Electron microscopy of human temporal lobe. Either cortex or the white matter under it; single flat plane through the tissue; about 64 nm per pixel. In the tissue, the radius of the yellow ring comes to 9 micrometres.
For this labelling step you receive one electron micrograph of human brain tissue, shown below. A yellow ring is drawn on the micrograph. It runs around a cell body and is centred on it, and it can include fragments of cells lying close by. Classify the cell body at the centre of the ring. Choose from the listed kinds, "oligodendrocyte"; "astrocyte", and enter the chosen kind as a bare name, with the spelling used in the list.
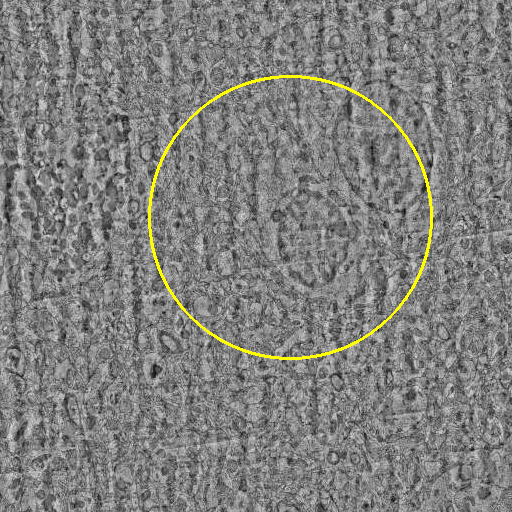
astrocyte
